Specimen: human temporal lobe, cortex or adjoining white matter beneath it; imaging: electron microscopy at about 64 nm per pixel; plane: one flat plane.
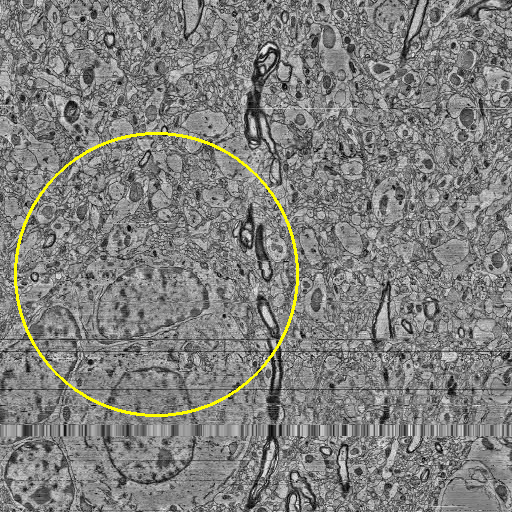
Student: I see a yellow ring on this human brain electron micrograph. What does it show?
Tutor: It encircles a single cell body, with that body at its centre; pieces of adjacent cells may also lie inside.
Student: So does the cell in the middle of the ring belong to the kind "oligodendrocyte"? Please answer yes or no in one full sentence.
No, that cell at the centre of the ring is one of another kind.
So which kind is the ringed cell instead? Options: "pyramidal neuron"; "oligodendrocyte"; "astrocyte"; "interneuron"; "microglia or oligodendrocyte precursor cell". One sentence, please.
It is a microglial cell or oligodendrocyte precursor cell that the ring is centred on.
